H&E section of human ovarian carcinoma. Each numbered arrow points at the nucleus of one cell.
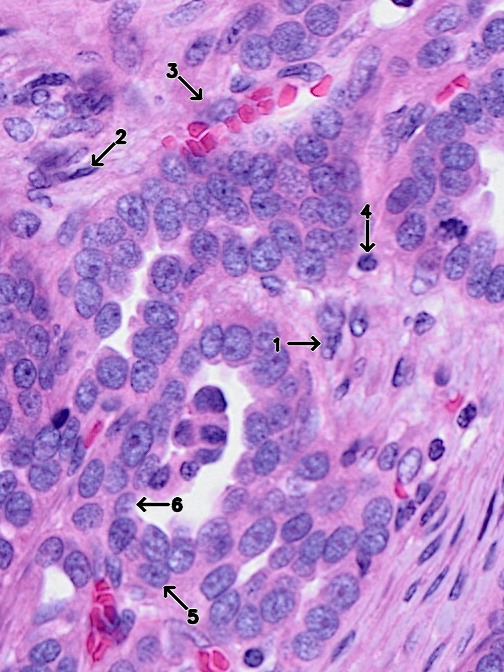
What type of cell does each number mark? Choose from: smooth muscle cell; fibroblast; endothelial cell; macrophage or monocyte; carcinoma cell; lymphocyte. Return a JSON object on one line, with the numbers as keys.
{"1": "fibroblast", "2": "fibroblast", "3": "endothelial cell", "4": "lymphocyte", "5": "carcinoma cell", "6": "carcinoma cell"}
